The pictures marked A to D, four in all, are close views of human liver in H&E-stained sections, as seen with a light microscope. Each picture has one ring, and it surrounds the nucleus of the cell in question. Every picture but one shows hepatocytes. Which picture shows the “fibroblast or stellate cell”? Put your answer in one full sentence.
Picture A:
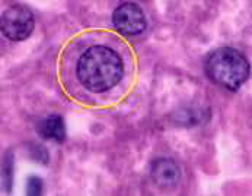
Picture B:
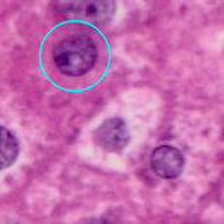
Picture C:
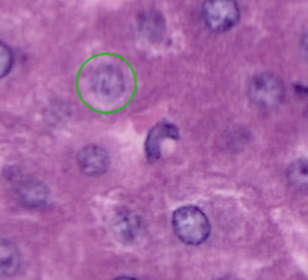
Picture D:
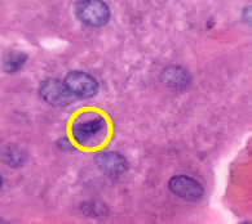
The cell in picture D is the “fibroblast or stellate cell”.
